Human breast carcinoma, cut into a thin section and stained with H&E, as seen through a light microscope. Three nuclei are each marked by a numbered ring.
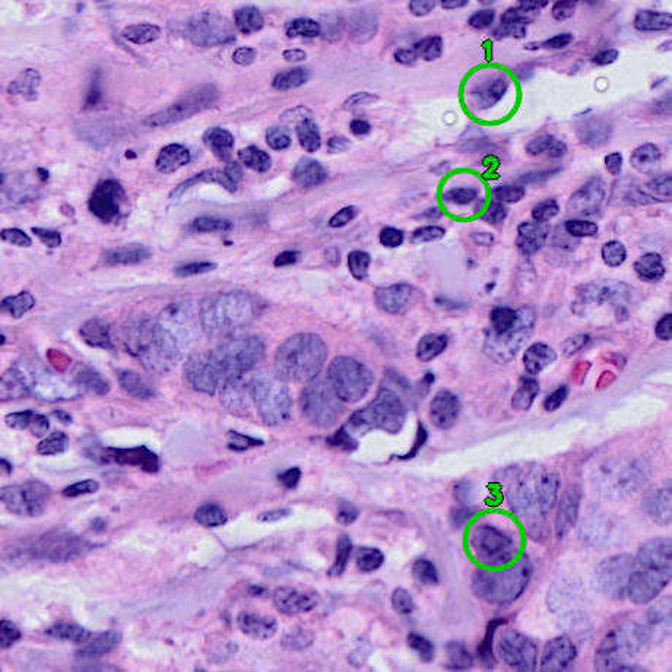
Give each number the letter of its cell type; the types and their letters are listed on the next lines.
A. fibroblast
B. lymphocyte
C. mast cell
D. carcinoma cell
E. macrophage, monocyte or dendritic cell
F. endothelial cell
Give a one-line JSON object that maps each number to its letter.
{"1": "B", "2": "B", "3": "D"}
